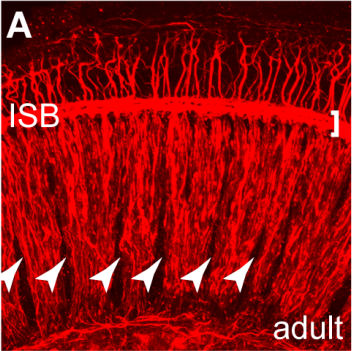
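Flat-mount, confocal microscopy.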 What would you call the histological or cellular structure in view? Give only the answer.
radial bundles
